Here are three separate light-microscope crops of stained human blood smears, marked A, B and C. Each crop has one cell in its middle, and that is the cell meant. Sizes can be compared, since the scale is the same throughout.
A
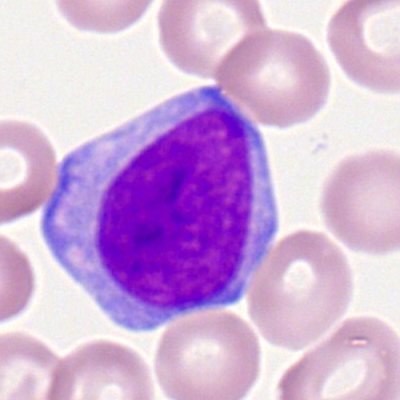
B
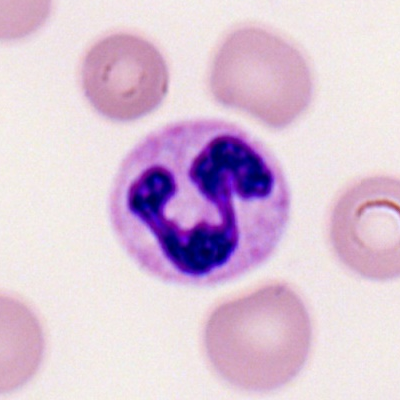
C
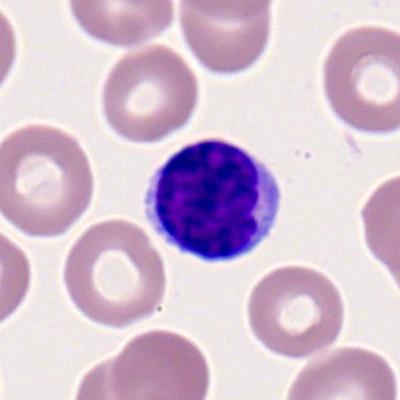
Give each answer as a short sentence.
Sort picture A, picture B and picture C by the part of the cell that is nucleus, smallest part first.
The least filled comes first: B, A, C.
